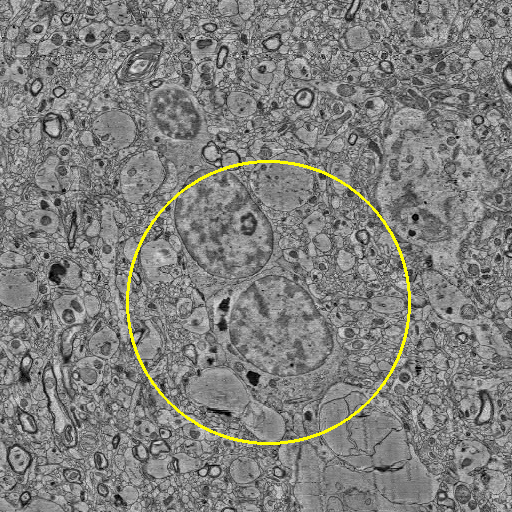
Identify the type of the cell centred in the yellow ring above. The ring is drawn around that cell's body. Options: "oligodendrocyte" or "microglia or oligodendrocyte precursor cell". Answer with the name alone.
oligodendrocyte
